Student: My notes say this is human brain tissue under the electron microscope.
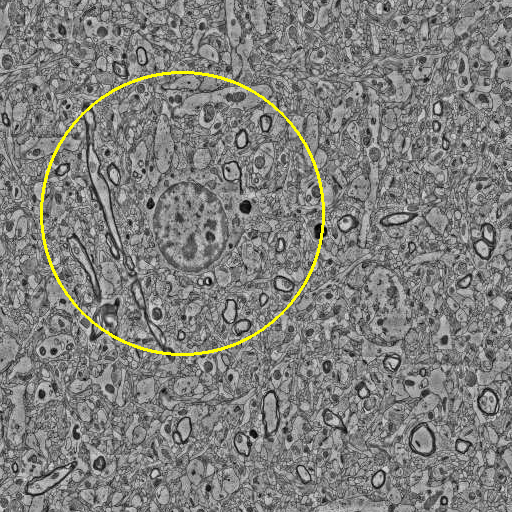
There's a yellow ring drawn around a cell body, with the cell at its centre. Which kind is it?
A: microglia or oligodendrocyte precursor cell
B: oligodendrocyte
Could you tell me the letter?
B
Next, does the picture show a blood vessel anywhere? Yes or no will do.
No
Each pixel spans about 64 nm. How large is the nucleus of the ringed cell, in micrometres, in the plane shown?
In this plane, roughly 6 by 5 micrometres.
